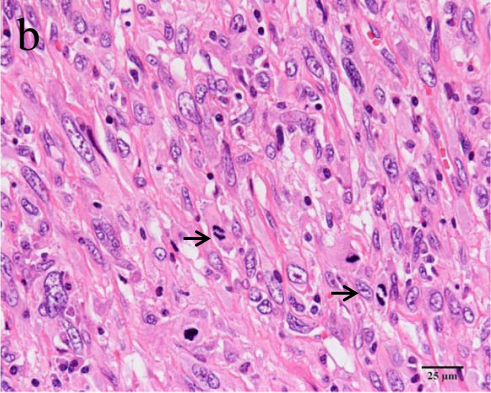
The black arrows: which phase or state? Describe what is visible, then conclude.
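Mitotic figures. The arrows point to small, dense, dark purple condensed chromatin bodies without a nuclear membrane. Other cells around have pale oval nuclei with visible nucleoli.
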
